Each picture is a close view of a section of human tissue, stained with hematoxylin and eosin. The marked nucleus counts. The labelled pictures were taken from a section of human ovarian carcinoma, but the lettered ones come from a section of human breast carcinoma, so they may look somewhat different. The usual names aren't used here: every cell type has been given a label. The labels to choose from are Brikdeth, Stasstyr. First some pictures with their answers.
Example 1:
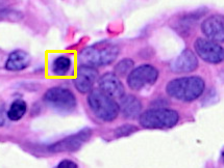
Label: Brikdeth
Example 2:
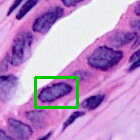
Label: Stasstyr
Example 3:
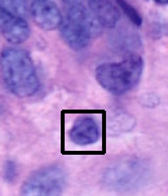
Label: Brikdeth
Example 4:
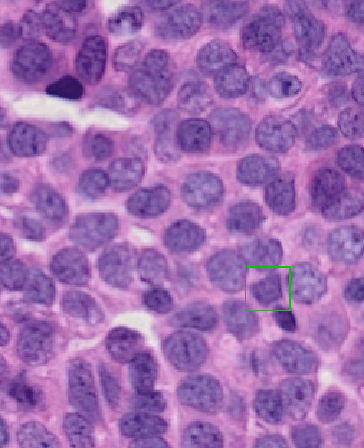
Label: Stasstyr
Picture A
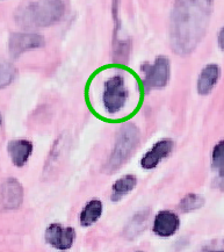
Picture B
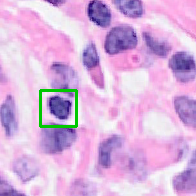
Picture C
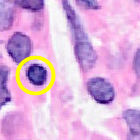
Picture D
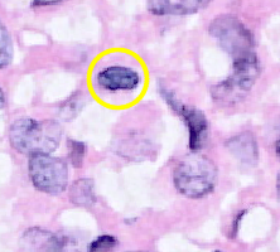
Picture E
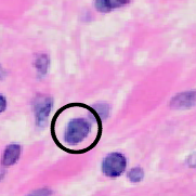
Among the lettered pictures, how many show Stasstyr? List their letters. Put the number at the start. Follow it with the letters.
0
